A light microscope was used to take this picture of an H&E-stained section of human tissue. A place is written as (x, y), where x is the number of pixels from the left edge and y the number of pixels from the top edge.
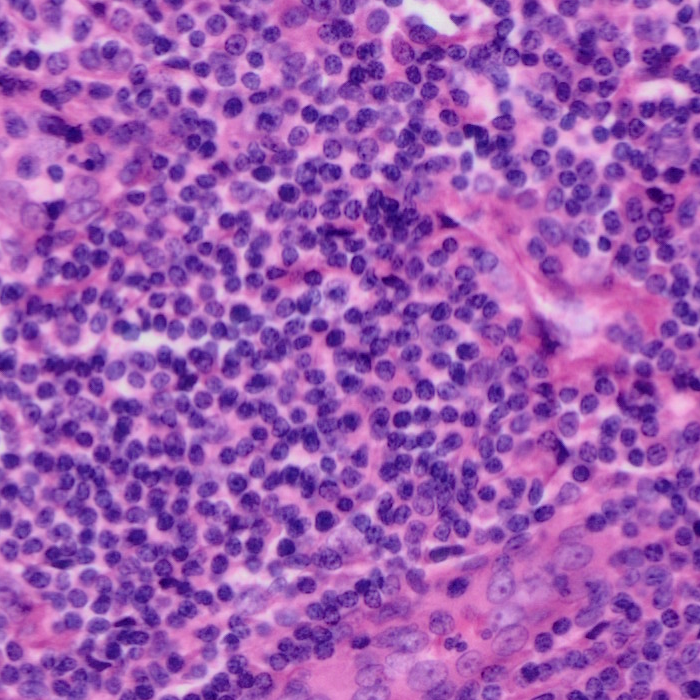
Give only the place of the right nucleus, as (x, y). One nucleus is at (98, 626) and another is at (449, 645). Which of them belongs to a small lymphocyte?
(98, 626)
